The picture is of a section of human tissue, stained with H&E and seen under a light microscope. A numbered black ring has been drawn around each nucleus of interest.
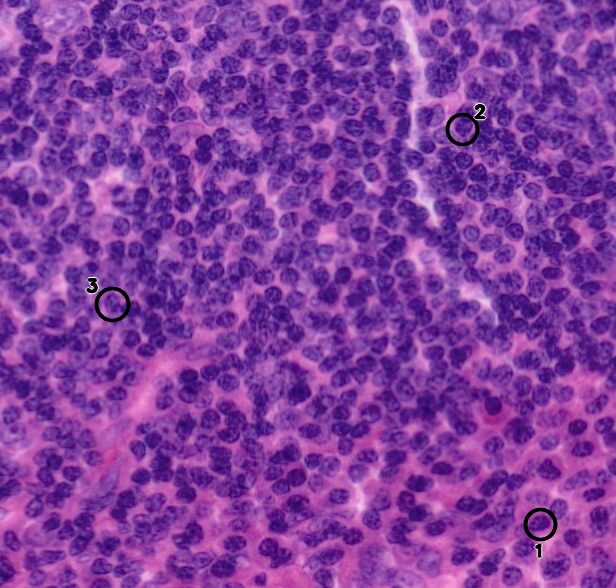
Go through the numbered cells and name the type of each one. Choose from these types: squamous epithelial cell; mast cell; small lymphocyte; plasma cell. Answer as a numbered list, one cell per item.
1. plasma cell
2. small lymphocyte
3. small lymphocyte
